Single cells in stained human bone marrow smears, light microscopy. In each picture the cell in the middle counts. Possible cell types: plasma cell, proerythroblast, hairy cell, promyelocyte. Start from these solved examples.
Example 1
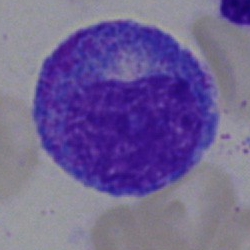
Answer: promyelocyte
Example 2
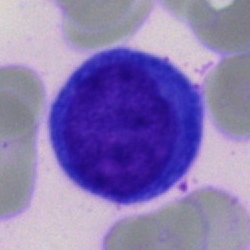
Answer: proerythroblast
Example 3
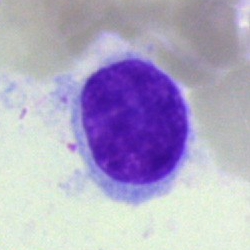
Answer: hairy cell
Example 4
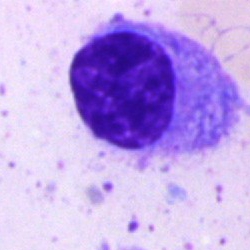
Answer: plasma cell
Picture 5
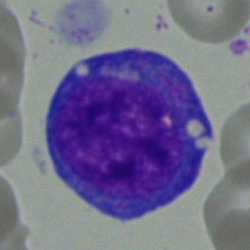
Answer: promyelocyte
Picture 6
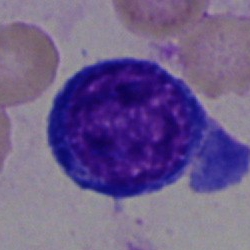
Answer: proerythroblast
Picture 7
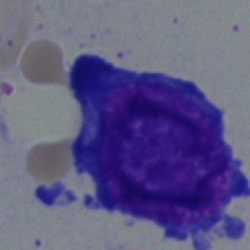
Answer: proerythroblast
